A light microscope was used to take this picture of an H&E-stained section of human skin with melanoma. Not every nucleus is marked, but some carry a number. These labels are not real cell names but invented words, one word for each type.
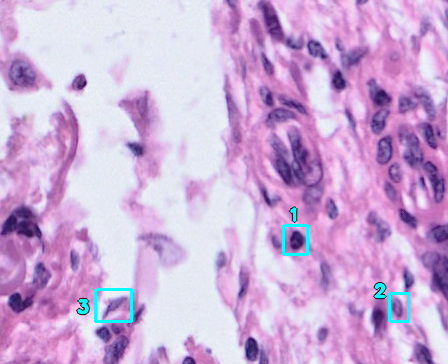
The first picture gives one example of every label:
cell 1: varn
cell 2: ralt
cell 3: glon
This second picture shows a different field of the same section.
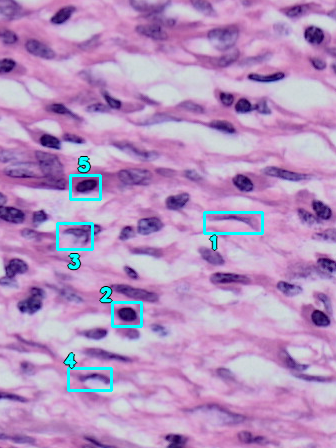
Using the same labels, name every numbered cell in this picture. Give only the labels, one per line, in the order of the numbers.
glon
varn
glon
glon
varn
